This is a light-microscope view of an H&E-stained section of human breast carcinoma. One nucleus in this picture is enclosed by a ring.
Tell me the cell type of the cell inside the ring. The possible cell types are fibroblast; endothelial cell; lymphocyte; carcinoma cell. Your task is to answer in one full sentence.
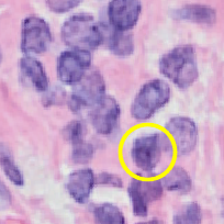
At the level of cell identity, the cell inside the ring is a carcinoma cell.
